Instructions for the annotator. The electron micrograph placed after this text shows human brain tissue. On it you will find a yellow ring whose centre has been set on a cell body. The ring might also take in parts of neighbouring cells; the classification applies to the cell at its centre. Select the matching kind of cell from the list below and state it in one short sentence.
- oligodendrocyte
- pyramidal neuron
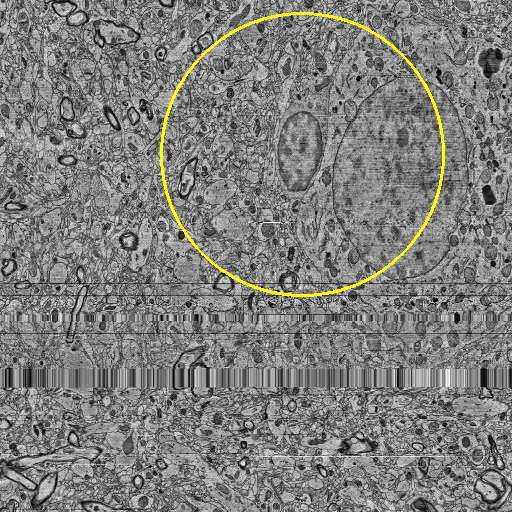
The ring is drawn on the cell body of an oligodendrocyte.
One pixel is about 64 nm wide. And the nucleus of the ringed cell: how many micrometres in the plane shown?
The nucleus measures about 5 by 3 micrometres, so it is clearly longer than it is wide in this plane.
